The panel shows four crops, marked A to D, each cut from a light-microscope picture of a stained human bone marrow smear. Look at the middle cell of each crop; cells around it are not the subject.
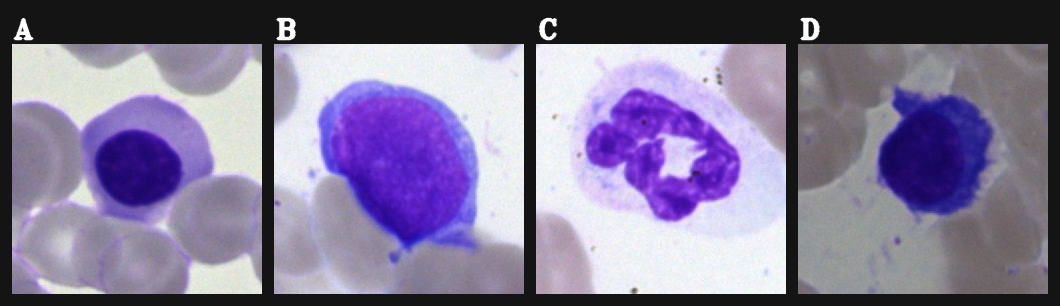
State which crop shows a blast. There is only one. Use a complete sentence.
Crop B, of the crops presented, is the one showing a blast.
